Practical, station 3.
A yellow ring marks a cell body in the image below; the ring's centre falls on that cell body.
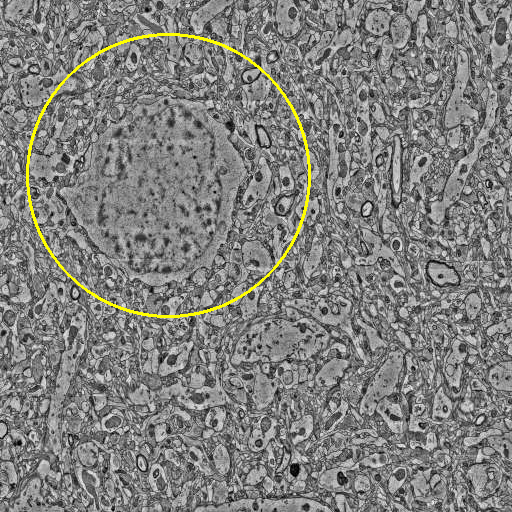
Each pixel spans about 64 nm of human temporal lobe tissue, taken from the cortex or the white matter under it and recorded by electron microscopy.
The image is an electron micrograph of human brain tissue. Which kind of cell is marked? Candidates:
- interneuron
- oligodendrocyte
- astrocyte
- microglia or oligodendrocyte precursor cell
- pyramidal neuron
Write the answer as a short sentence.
The marked cell body is that of an interneuron.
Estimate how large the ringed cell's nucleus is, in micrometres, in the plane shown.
The nucleus comes to roughly 11 by 8 micrometres in this plane.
